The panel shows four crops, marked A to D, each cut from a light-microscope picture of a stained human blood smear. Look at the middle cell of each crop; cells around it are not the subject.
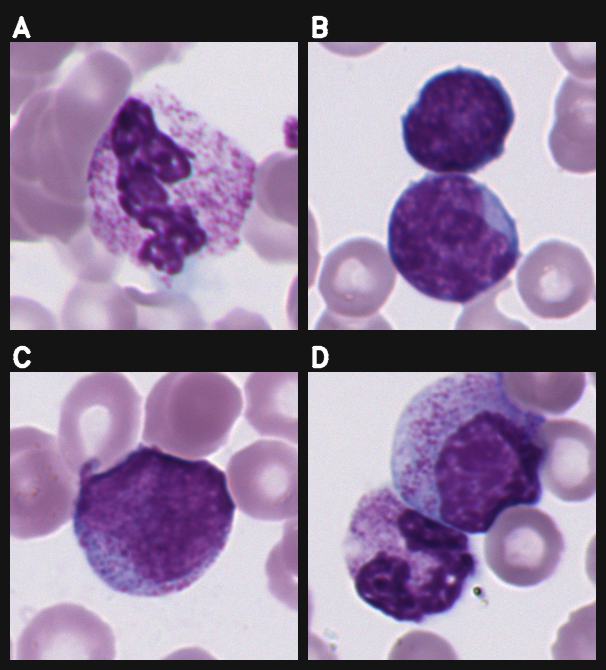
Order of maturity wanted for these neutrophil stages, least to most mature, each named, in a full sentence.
From least to most mature, the crops are ordered crop B (a myeloblast), crop C (a promyelocyte), crop D (a myelocyte) and crop A (a segmented neutrophil).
